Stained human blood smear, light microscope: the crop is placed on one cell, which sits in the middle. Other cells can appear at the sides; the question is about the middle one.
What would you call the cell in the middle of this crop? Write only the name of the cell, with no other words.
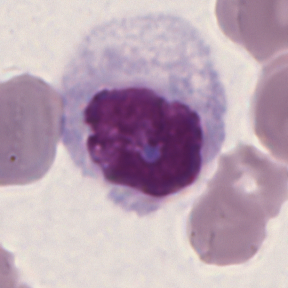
plasma cell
